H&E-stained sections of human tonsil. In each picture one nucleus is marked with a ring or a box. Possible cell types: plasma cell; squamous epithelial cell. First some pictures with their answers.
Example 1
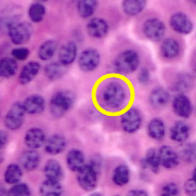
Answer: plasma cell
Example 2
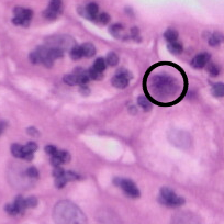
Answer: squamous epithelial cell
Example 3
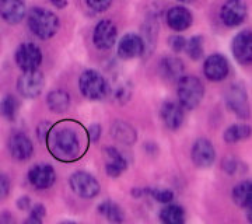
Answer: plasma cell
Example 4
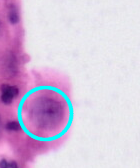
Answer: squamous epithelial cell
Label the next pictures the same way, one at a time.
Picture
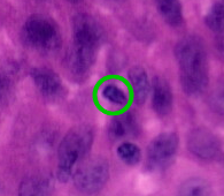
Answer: squamous epithelial cell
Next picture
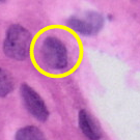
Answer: squamous epithelial cell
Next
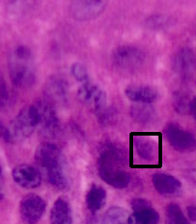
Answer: squamous epithelial cell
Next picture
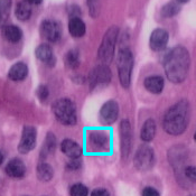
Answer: plasma cell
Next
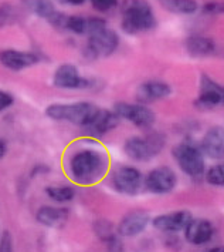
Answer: plasma cell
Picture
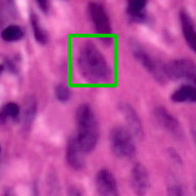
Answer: squamous epithelial cell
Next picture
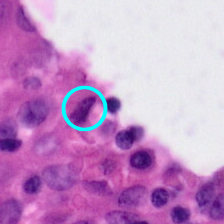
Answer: squamous epithelial cell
